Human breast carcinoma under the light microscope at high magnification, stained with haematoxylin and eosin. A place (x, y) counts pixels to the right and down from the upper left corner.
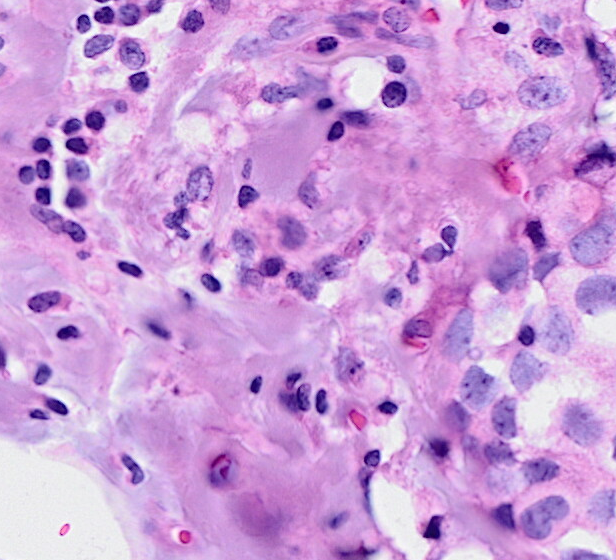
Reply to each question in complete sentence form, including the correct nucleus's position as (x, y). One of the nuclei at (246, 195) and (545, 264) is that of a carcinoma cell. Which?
Lying within a carcinoma cell is the nucleus at (545, 264).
